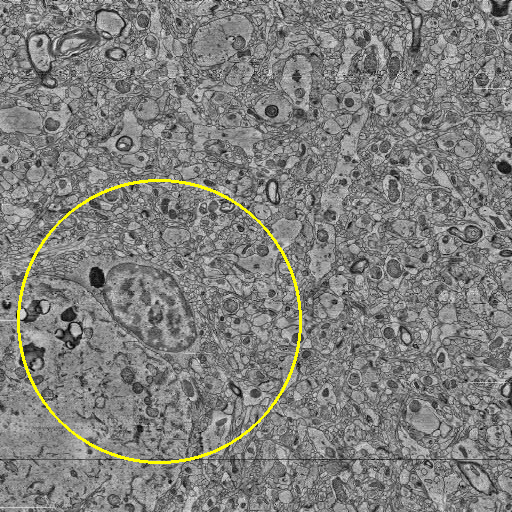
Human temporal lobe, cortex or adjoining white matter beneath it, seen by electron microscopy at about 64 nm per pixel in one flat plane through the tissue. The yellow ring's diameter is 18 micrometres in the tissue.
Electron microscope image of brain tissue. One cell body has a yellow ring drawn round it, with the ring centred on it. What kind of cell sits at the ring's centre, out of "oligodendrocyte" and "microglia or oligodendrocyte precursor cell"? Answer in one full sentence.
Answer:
It is an oligodendrocyte whose cell body sits at the centre of the yellow ring.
